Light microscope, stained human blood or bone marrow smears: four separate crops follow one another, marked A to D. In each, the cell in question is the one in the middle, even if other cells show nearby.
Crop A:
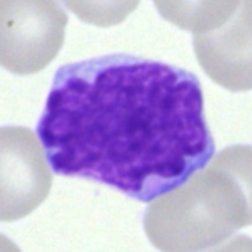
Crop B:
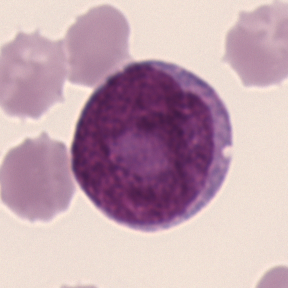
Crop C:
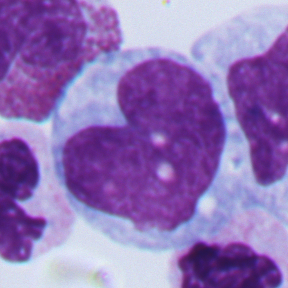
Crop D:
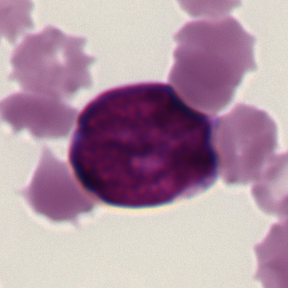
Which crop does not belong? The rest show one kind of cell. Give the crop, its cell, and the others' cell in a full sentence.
Differing from the rest, crop C shows a monocyte; the others all show blasts.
